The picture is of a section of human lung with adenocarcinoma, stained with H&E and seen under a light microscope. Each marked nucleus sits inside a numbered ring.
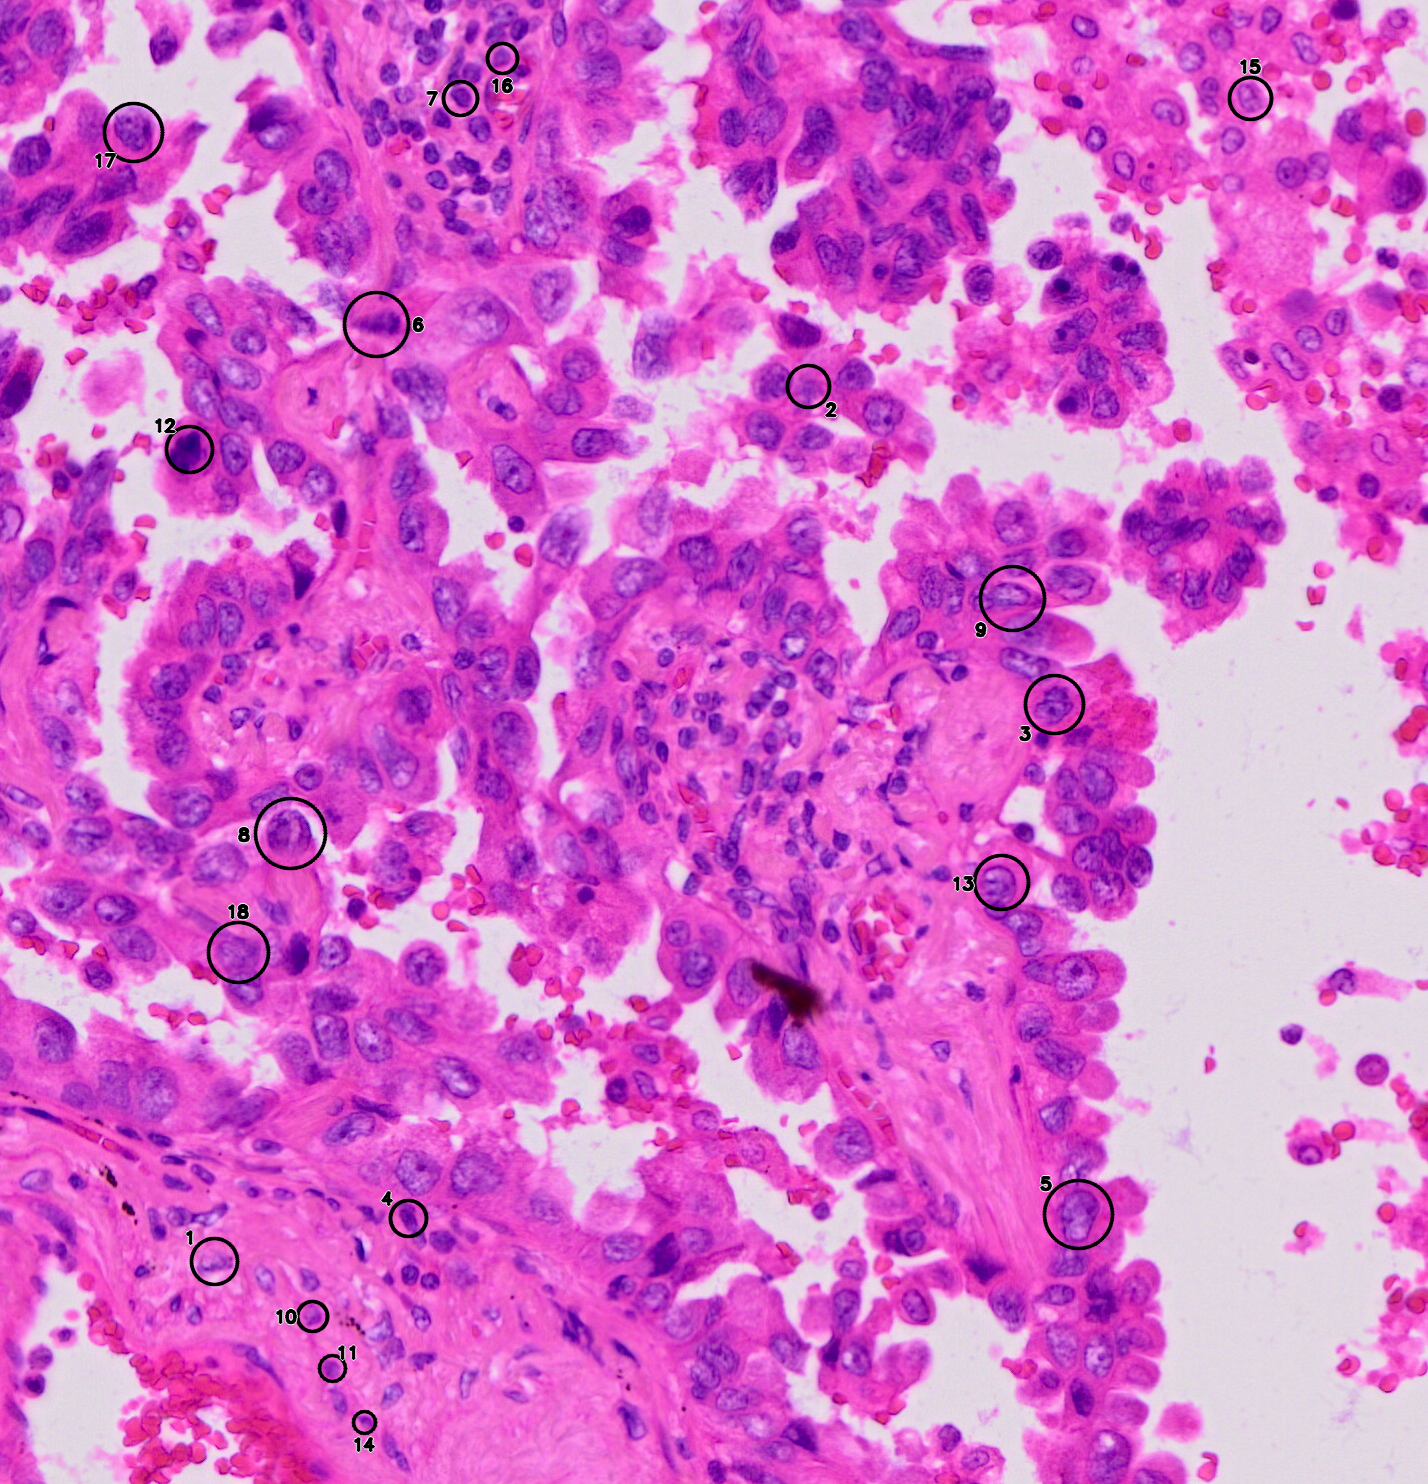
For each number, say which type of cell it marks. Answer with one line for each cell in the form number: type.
1: fibroblast
2: carcinoma cell
3: carcinoma cell
4: lymphocyte
5: carcinoma cell
6: carcinoma cell
7: lymphocyte
8: carcinoma cell
9: carcinoma cell
10: smooth muscle cell or pericyte
11: smooth muscle cell or pericyte
12: carcinoma cell
13: carcinoma cell
14: smooth muscle cell or pericyte
15: macrophage or monocyte
16: lymphocyte
17: carcinoma cell
18: carcinoma cell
